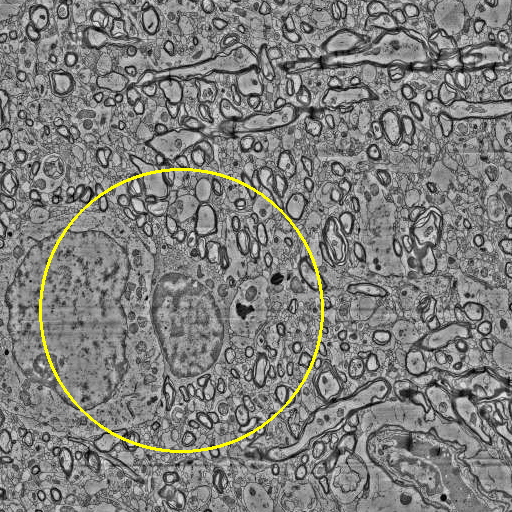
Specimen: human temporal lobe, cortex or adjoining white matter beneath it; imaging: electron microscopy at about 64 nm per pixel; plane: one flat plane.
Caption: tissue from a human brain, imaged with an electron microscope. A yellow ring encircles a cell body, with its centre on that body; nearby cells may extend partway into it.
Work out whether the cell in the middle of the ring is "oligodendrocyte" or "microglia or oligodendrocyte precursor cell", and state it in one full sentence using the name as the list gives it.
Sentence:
In the picture, the cell that the yellow ring surrounds at its centre is an oligodendrocyte.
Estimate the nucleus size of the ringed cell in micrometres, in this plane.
The nucleus is approximately 7 micrometres long but only about 4 wide, clearly longer than it is wide in this plane.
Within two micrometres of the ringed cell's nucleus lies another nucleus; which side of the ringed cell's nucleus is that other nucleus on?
The other nucleus lies to the left of it in the picture.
